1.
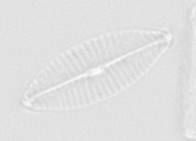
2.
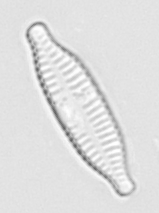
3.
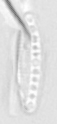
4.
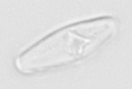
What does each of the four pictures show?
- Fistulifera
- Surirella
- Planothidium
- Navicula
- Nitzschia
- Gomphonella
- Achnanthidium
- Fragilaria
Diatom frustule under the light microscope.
Picture 1: Navicula
Picture 2: Fragilaria
Picture 3: Nitzschia
Picture 4: Achnanthidium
